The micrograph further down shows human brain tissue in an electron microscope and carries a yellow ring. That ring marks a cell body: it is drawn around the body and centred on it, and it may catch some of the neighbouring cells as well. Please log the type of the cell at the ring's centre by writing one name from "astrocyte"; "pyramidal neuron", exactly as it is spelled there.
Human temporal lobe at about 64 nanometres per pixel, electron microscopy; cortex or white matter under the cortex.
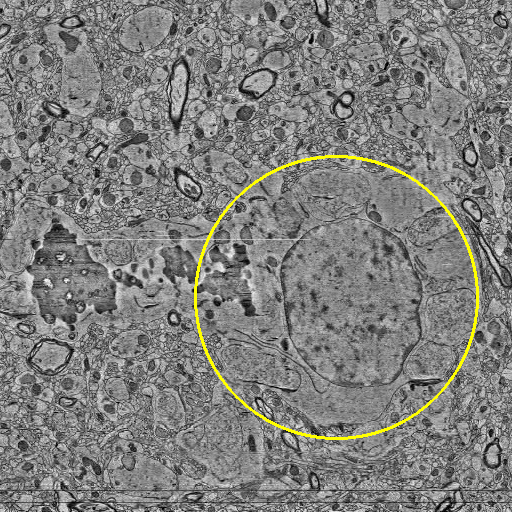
astrocyte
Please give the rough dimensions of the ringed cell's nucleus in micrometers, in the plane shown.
In this plane the nucleus measures roughly 11 by 9 micrometres.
